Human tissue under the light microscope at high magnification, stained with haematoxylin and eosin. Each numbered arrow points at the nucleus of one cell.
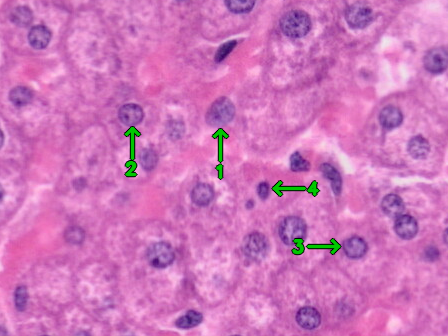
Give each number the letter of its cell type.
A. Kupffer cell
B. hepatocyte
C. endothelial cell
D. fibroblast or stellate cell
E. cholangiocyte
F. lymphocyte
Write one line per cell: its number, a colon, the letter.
1: C
2: B
3: B
4: F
